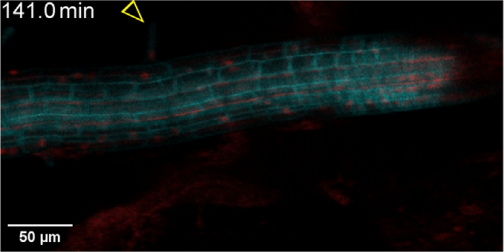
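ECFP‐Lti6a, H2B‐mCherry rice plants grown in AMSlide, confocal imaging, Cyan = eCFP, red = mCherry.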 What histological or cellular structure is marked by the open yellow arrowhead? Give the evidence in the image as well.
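Root hair. A thin cyan tubular outgrowth projects from the upper surface of the root. It extends outward perpendicular to the root axis.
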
